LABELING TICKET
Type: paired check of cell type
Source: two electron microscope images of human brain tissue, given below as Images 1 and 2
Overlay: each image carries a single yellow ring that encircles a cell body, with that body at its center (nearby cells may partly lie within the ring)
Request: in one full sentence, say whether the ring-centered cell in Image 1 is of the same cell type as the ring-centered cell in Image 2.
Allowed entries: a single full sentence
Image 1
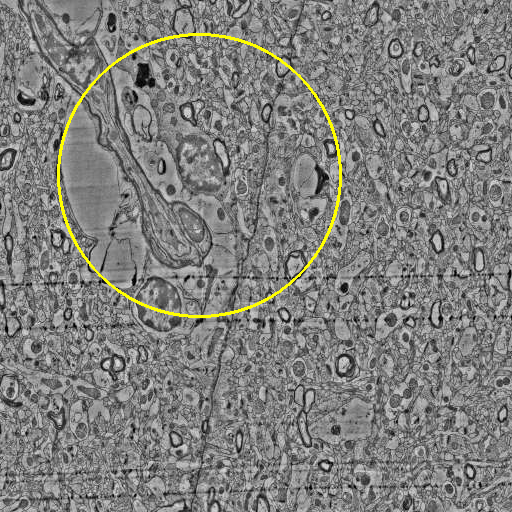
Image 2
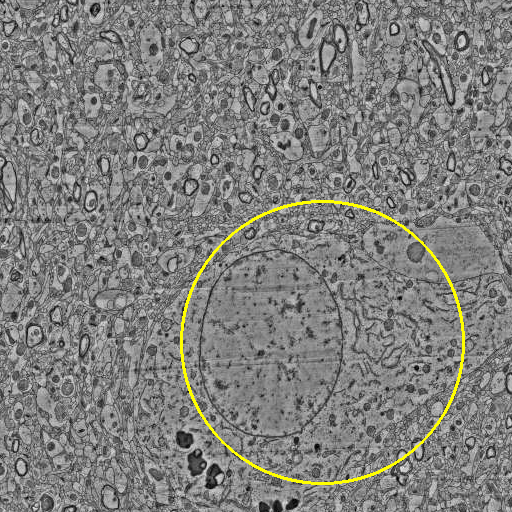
No, the cells centered in the rings of Image 1 and Image 2 are of two types.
